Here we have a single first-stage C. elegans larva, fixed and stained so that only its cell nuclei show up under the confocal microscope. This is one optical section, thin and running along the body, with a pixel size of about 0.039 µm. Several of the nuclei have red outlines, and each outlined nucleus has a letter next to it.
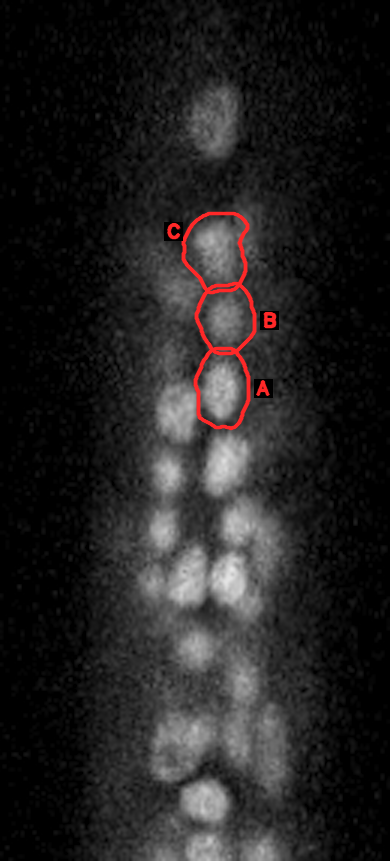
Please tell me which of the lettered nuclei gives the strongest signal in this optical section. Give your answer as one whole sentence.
A is stained most strongly in this section.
